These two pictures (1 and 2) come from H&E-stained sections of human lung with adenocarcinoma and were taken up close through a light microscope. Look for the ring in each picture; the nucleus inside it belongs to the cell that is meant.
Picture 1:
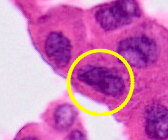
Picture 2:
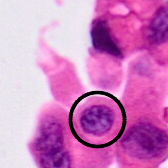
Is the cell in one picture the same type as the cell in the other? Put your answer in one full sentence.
Yes, they are the same type: both are carcinoma cells.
